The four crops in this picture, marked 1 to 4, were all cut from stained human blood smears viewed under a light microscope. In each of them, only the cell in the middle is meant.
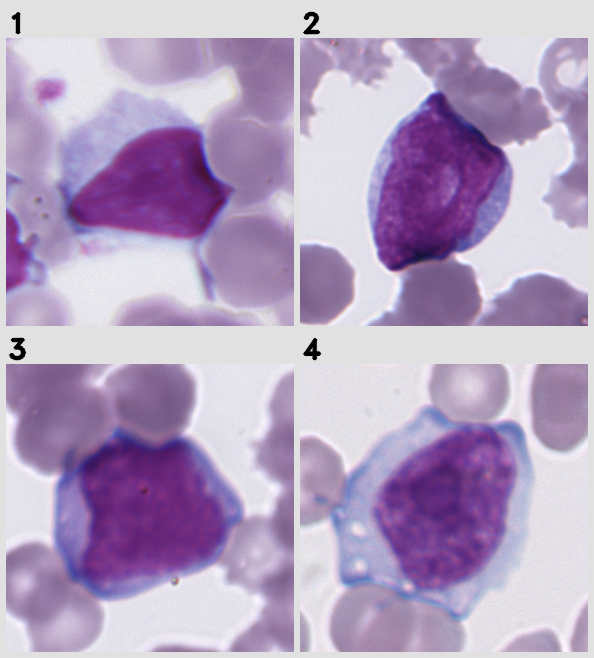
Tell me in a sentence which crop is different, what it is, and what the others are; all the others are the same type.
Differing from the rest, crop 1 shows a typical lymphocyte; the others all show myeloblasts.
